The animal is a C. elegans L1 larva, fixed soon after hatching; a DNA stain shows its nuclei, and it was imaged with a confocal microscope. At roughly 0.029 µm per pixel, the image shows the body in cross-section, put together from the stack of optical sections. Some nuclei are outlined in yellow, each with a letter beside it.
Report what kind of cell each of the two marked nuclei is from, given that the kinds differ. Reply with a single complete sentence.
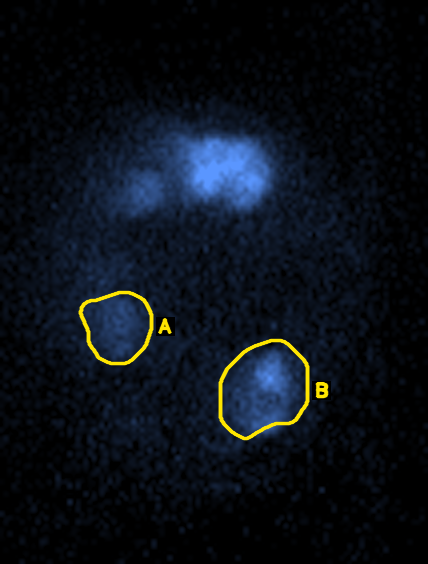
B belongs to a body wall muscle cell, and A to a hypodermal cell (hyp).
